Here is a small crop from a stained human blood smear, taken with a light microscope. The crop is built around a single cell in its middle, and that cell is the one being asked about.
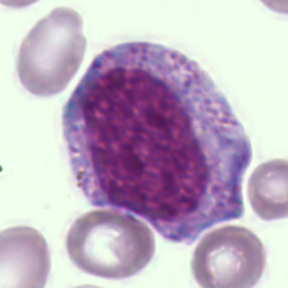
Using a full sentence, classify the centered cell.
The target cell in the middle of the crop is a promyelocyte.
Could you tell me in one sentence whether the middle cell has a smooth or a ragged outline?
Its outline is ragged or drawn out into projections, not smooth.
